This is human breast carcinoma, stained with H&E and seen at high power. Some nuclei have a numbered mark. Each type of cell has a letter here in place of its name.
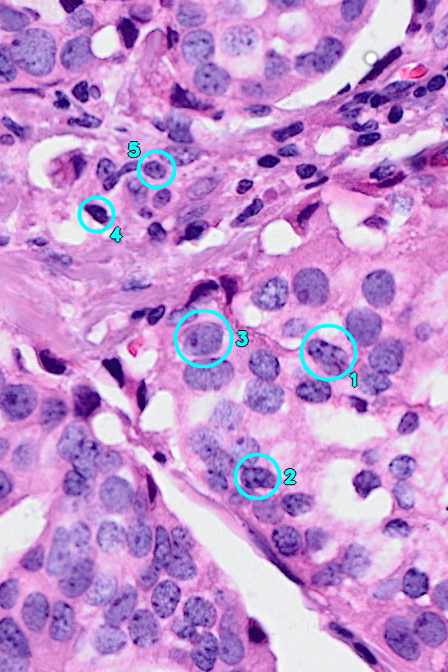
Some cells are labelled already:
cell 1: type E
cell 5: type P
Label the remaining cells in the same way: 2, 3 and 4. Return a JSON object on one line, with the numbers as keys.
{"2": "type E", "3": "type E", "4": "type P"}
